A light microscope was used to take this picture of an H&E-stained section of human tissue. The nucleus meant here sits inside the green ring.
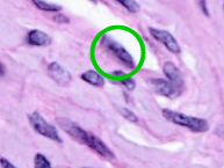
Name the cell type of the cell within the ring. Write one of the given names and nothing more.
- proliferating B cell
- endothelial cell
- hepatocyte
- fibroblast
endothelial cell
